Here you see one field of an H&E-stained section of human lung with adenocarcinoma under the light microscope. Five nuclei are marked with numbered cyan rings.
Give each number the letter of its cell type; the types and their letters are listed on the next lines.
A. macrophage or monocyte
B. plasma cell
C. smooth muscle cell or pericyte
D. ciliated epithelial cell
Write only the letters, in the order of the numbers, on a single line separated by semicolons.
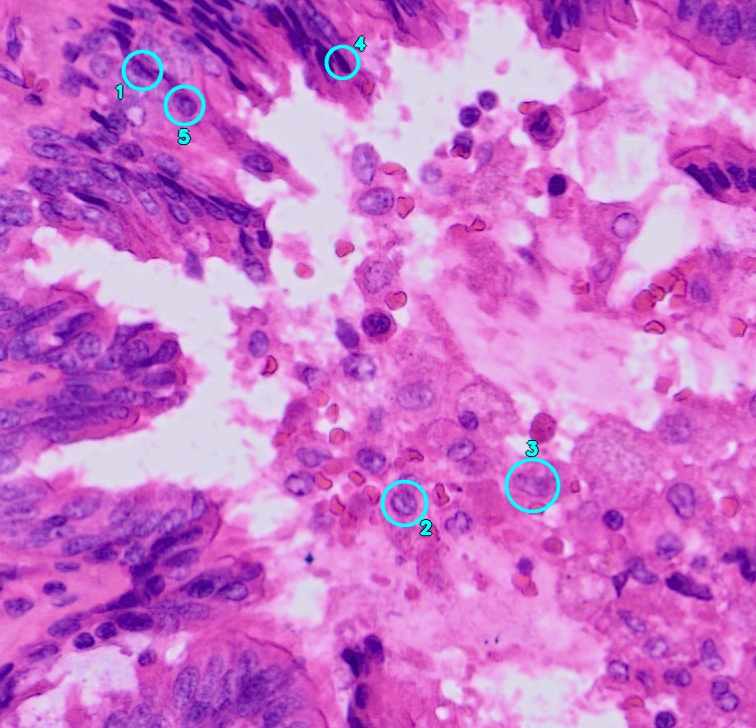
D; A; A; D; D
